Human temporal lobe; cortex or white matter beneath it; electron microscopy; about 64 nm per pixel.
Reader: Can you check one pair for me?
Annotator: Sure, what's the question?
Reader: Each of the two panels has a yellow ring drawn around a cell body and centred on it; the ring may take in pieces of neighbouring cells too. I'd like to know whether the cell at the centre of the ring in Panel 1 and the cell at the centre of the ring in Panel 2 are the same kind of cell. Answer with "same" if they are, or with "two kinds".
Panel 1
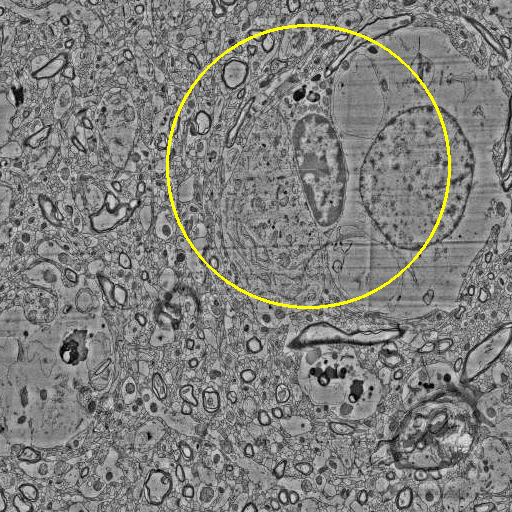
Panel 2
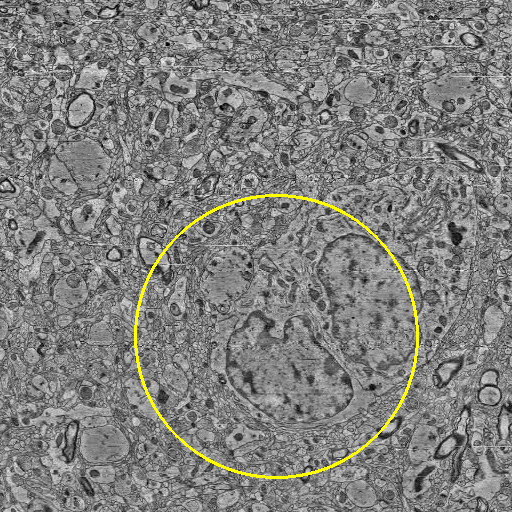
same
